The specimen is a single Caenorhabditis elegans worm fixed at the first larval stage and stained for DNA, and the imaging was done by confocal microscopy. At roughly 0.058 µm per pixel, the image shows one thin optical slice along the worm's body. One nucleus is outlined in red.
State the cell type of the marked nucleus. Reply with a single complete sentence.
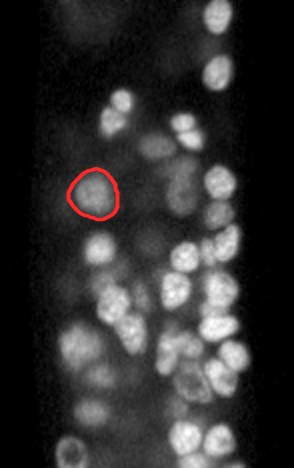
This is the nucleus of a pharyngeal muscle cell.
